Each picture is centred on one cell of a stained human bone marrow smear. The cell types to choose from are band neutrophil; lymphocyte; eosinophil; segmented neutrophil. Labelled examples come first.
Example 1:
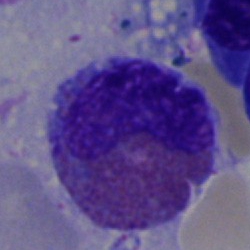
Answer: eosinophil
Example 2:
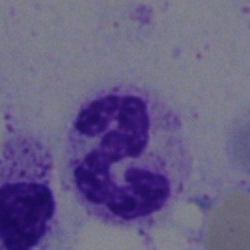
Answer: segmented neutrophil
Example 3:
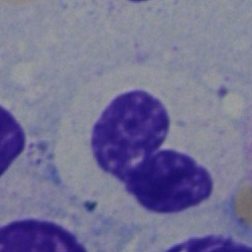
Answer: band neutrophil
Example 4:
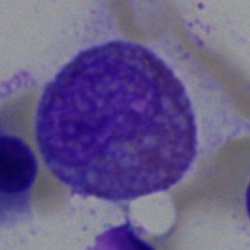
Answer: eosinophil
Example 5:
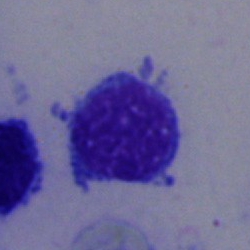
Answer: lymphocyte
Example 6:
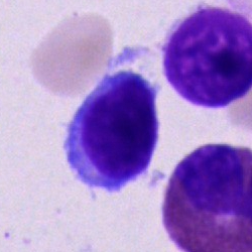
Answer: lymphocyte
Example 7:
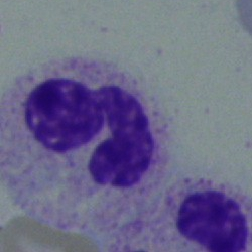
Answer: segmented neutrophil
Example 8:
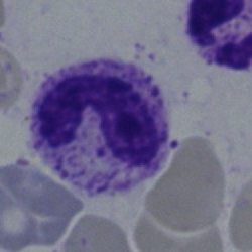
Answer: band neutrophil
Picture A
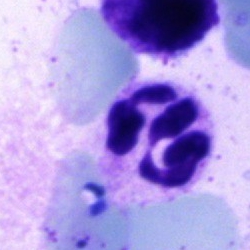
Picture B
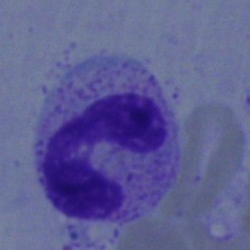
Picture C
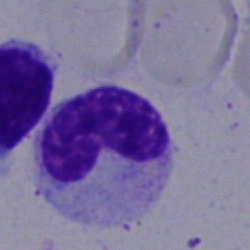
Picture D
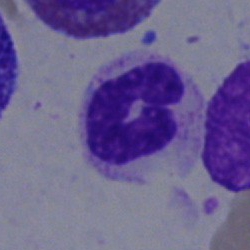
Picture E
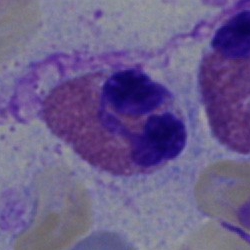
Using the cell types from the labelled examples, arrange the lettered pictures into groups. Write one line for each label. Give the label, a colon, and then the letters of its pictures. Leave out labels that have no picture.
band neutrophil: B, C
eosinophil: E
segmented neutrophil: A, D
